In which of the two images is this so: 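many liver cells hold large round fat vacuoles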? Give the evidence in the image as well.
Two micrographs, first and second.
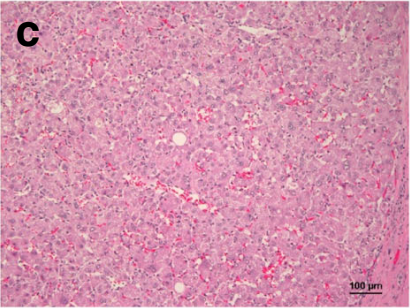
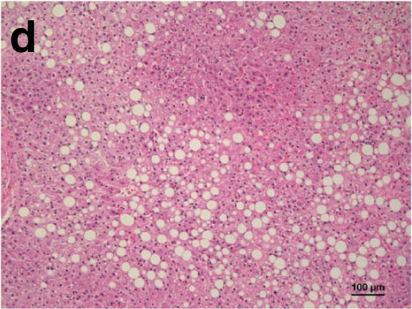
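The second image. Second image: numerous round clear vacuoles of varying size throughout the tissue.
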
